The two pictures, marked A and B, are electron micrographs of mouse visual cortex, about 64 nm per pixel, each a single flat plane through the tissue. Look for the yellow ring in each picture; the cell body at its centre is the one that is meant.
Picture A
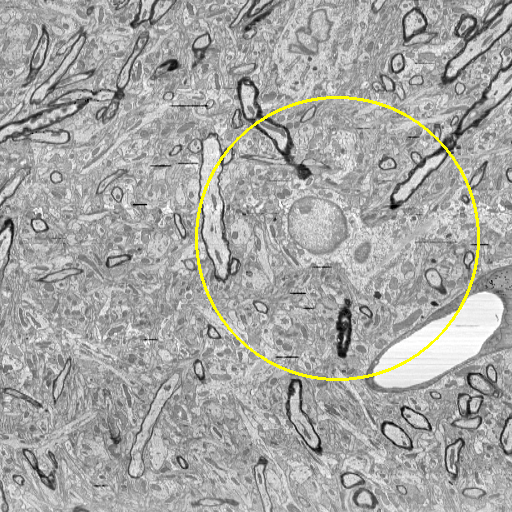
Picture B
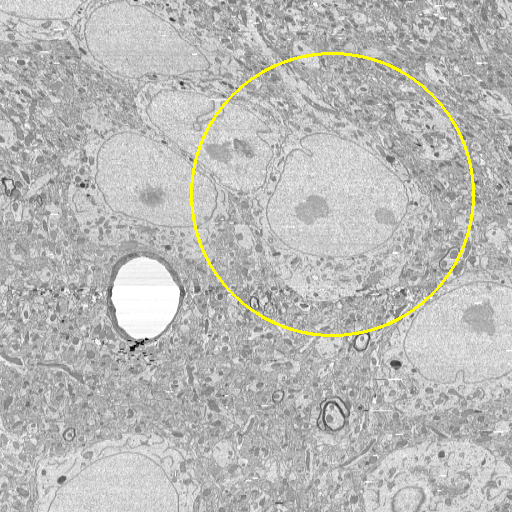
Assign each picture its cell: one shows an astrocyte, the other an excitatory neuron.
The cell in picture A is an astrocyte, and the one in picture B is an excitatory neuron.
